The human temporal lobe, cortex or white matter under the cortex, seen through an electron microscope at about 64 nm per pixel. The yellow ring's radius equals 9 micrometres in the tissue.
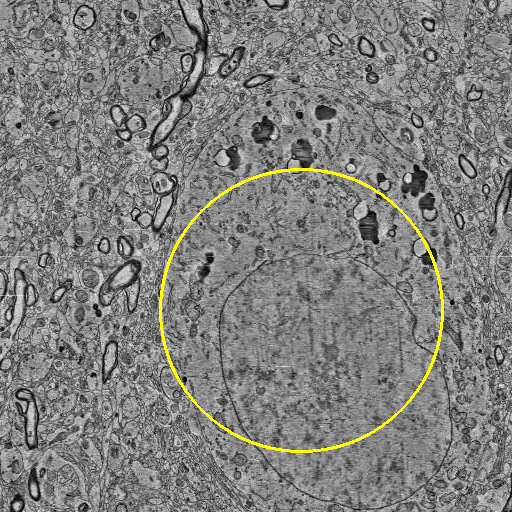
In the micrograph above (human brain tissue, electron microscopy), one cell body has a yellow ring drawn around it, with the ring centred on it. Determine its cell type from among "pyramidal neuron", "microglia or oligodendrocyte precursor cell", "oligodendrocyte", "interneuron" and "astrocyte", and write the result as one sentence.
The cell whose body is ringed is a pyramidal neuron.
